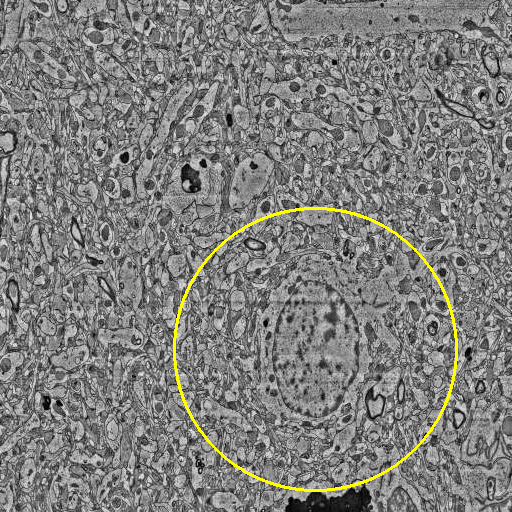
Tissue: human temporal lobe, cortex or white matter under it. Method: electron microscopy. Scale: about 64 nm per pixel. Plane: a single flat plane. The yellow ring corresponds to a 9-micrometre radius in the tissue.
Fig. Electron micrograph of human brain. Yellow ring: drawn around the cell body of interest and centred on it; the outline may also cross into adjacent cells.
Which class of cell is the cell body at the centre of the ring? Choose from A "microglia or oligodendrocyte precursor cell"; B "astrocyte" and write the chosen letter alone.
B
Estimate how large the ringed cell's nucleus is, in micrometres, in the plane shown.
In this plane the nucleus is about 9 micrometres by 6.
